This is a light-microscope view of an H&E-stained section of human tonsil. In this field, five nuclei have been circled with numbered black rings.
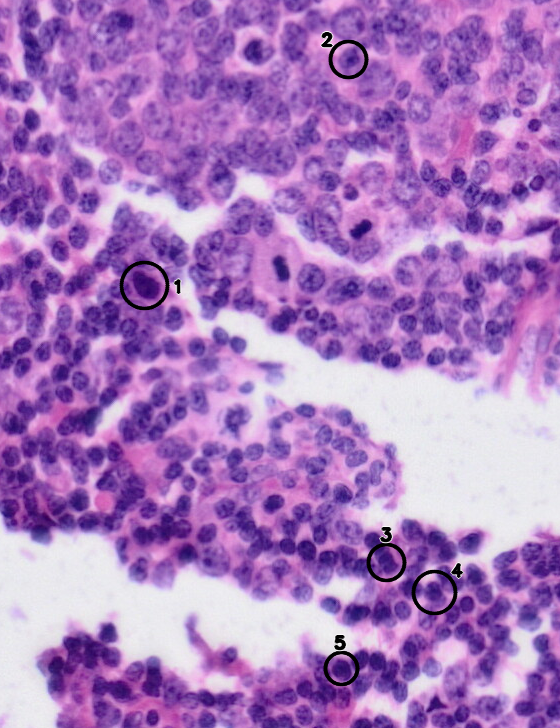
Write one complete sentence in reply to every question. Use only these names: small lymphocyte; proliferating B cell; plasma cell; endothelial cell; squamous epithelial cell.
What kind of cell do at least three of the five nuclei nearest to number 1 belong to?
The majority of the five nuclei closest to number 1 belong to proliferating B cells.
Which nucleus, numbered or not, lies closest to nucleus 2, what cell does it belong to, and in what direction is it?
It is a proliferating B cell, whose nucleus lies above and to the right of nucleus 2.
